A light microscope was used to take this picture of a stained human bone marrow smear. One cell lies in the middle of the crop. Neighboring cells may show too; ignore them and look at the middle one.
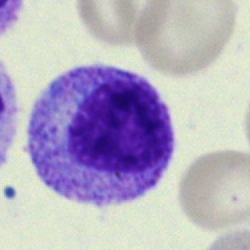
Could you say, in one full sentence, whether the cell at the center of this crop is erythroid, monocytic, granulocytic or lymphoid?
In this crop the cell in the center is part of the granulocytic lineage.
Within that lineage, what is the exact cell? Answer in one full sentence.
The cell around which this crop is centred is a myelocyte.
